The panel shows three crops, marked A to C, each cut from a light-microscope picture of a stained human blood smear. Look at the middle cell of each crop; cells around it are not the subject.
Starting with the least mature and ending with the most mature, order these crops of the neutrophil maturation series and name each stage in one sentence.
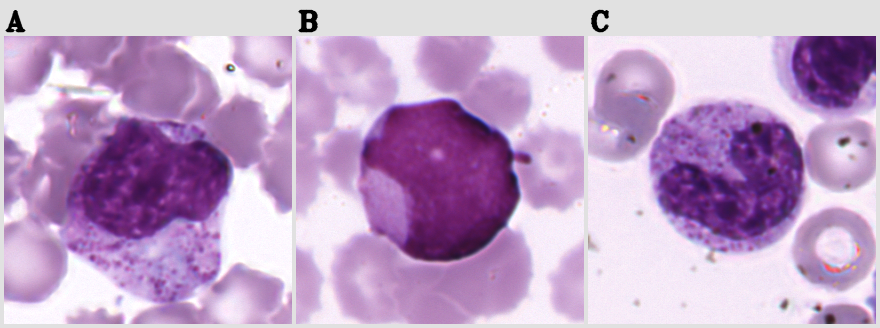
By increasing maturity, the cells should be ordered crop B (a myeloblast), crop A (a metamyelocyte) and crop C (a band neutrophil).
